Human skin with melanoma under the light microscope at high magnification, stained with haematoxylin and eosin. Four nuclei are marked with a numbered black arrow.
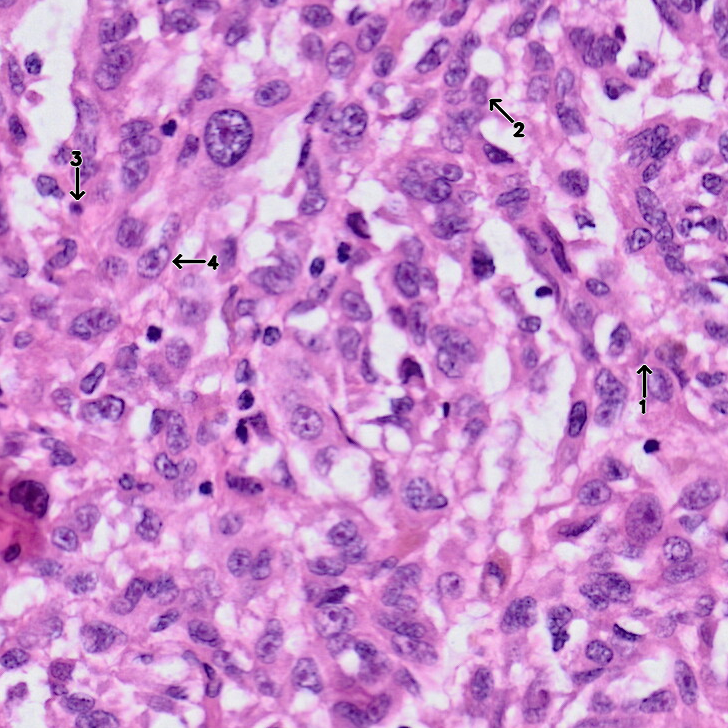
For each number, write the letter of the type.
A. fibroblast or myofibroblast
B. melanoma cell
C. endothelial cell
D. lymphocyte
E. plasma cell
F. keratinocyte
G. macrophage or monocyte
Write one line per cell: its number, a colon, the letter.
1: B
2: B
3: D
4: B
